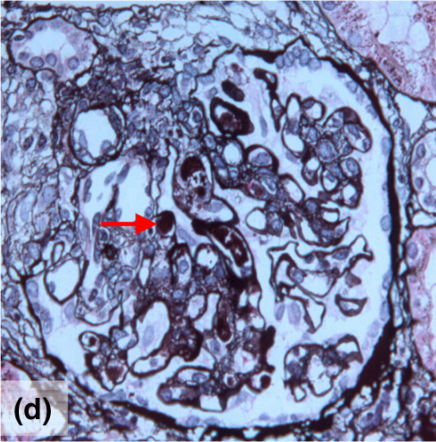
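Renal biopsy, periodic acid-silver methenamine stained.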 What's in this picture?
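Several capillary lumens are filled by round to elongated dark brown-black plugs instead of being open. The surrounding loops are lined by cells with pale nuclei, and the urinary space between the tuft and the capsule is clear.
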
